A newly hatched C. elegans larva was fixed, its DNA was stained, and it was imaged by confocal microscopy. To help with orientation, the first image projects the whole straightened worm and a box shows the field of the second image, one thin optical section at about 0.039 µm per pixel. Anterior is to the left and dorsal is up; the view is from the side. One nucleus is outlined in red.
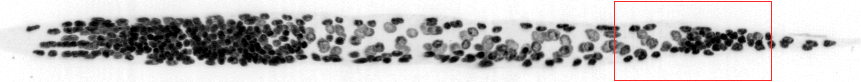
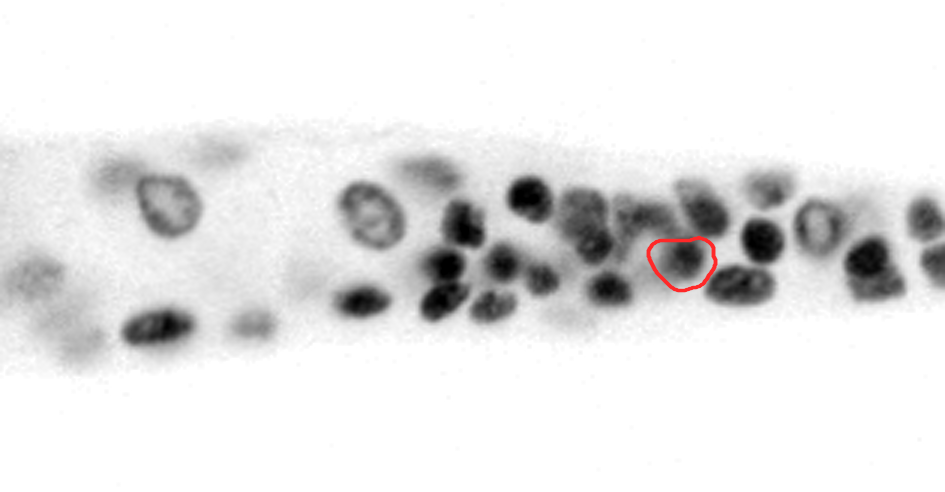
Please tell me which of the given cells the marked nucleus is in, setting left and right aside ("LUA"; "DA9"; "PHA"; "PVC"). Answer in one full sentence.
The marked cell is PVC, a neuron.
